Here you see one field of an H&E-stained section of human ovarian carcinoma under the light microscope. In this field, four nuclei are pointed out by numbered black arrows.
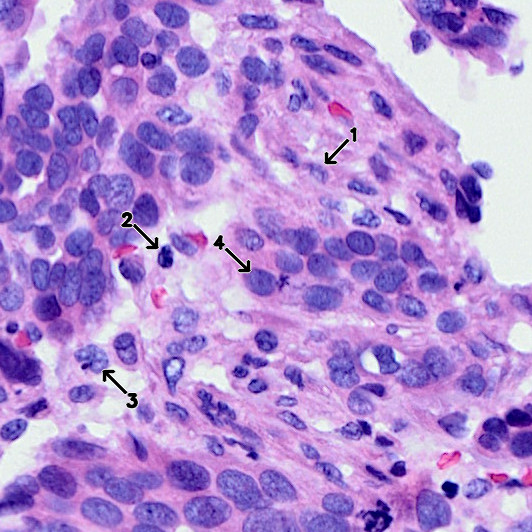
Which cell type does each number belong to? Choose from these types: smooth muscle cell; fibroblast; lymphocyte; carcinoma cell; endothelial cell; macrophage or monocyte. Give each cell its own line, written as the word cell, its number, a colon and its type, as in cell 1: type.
cell 1: fibroblast
cell 2: lymphocyte
cell 3: macrophage or monocyte
cell 4: carcinoma cell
